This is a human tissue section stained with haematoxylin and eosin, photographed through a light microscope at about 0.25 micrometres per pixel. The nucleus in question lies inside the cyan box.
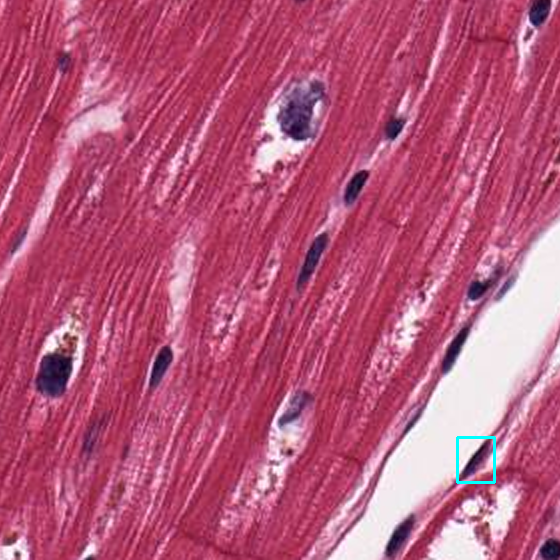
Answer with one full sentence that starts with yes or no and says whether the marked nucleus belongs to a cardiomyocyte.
No, the marked nucleus belongs to a supporting cell, not to a cardiomyocyte.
